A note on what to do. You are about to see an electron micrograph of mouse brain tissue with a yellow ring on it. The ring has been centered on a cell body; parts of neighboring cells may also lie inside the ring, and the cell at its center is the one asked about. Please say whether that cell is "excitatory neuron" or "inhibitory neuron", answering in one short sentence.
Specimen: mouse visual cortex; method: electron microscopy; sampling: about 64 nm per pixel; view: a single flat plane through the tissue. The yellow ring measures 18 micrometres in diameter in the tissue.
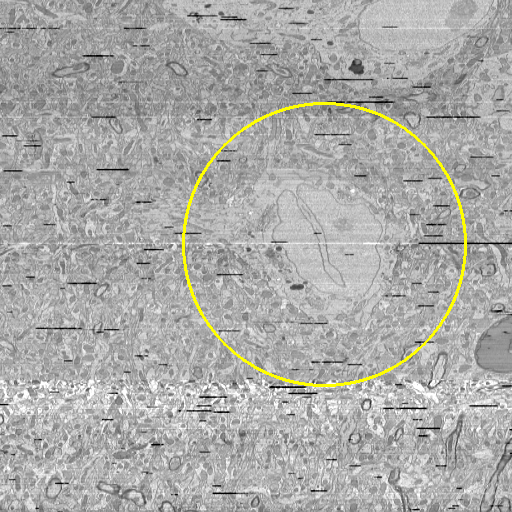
The yellow ring sits on an excitatory neuron.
